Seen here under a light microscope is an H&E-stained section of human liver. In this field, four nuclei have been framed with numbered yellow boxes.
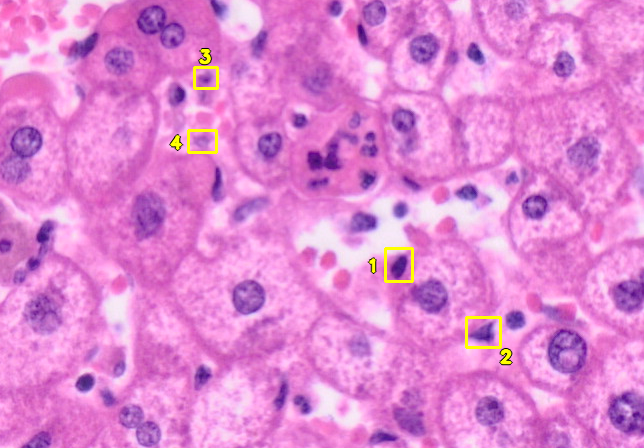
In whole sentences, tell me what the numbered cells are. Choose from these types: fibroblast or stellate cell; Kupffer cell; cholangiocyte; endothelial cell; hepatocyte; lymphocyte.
Cell 1 is a fibroblast or stellate cell, cell 2 is an endothelial cell, cell 3 is a Kupffer cell and cell 4 is a Kupffer cell.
